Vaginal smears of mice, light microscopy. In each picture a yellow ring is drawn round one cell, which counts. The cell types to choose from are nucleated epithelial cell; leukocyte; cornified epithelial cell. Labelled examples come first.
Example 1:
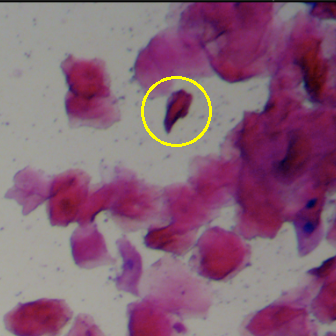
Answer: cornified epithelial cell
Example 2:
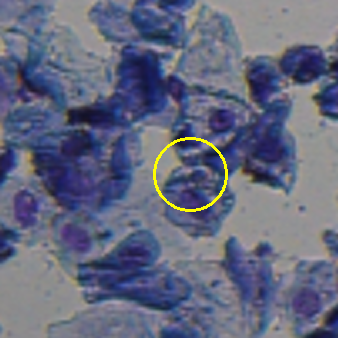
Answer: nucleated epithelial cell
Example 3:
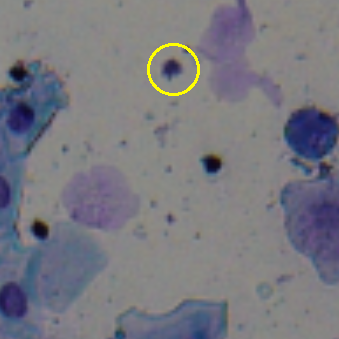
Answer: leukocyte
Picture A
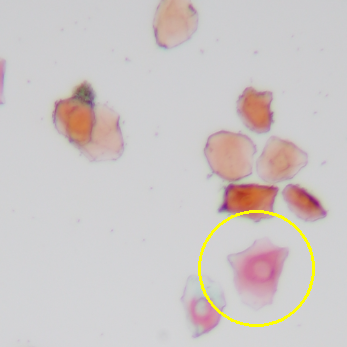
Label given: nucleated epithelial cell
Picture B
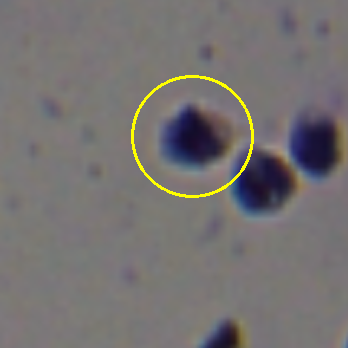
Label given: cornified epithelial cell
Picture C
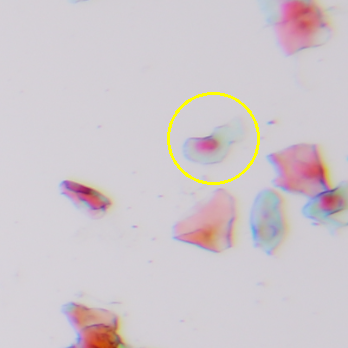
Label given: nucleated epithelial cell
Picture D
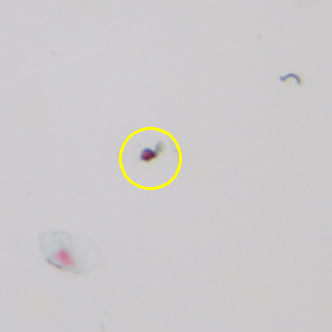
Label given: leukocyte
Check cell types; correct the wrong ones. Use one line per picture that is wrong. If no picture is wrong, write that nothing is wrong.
Wrong: B (cornified epithelial cell); correct: leukocyte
